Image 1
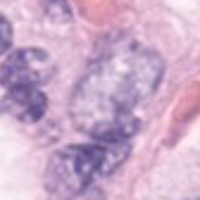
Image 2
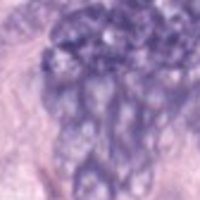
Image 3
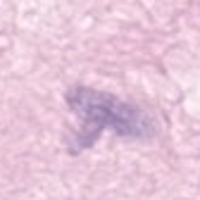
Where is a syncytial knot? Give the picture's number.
2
